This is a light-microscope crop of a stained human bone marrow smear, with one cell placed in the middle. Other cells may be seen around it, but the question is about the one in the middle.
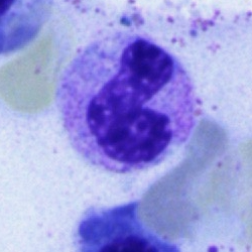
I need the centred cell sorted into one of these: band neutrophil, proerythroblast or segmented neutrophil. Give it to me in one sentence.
To answer, the cell in the center of the crop is a band neutrophil.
